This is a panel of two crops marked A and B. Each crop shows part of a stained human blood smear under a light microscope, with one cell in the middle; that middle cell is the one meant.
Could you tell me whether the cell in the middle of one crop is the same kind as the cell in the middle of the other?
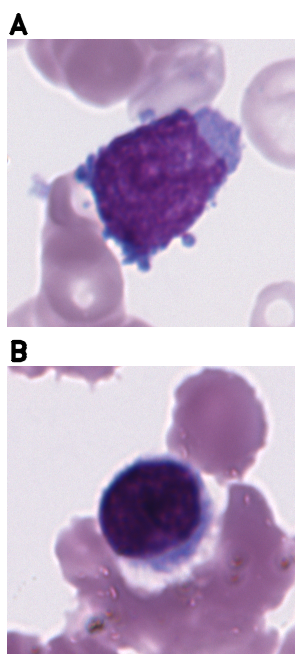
no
